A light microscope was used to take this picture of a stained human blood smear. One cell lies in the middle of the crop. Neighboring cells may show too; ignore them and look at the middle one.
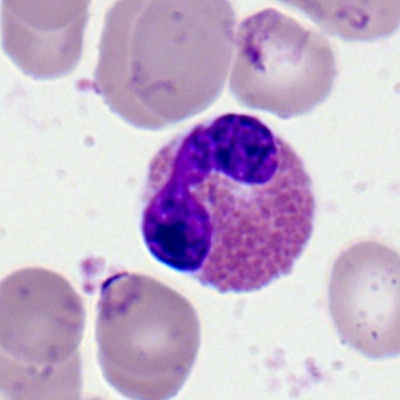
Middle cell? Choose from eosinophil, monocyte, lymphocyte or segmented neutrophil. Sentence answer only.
The center cell of this crop is an eosinophil.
